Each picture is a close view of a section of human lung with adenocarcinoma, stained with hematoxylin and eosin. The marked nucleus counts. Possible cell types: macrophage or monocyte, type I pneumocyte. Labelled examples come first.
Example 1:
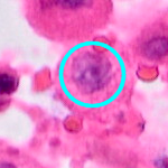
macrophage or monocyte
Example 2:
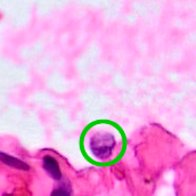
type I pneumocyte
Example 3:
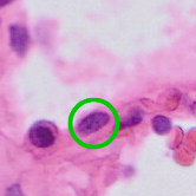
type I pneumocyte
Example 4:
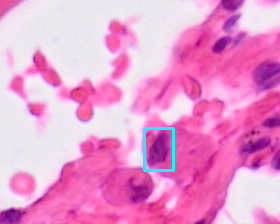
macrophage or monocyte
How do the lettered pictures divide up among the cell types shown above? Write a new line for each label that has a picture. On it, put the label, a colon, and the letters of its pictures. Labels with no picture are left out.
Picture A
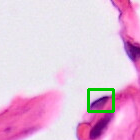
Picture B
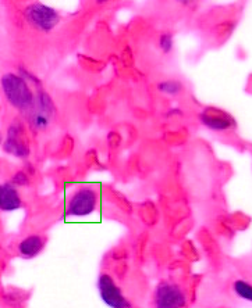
type I pneumocyte: A, B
